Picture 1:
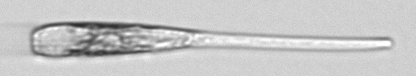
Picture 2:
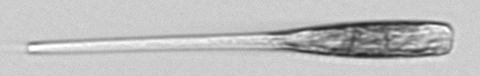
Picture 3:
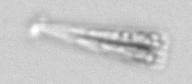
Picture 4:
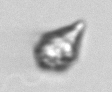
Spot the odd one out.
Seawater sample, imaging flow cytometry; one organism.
Picture 4 (Scrippsiella among Licmophora).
